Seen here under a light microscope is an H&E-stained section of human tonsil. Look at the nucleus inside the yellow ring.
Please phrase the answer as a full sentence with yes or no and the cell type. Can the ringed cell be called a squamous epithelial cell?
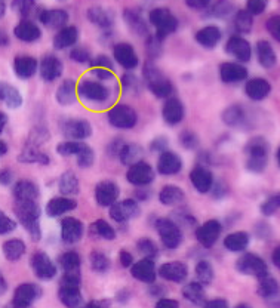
No, the ringed cell is not to be called a squamous epithelial cell; it is a small lymphocyte.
